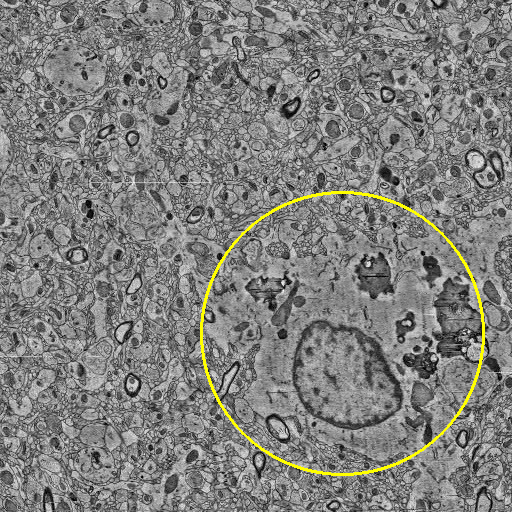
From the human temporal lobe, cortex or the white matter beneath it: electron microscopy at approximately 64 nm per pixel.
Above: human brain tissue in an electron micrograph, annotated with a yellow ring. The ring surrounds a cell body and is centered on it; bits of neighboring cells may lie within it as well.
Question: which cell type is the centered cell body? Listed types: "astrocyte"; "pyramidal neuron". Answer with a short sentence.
The centered cell body is an astrocyte.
